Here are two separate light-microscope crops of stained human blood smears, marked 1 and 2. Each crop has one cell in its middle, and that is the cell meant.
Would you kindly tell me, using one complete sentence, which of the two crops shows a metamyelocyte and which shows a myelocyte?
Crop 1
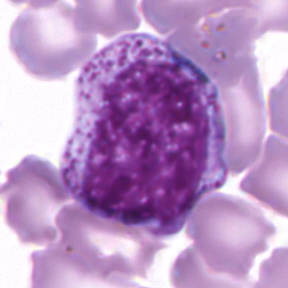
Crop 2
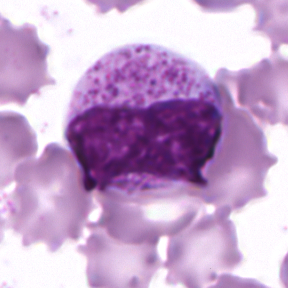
Crop 1 is a myelocyte and crop 2 is a metamyelocyte.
